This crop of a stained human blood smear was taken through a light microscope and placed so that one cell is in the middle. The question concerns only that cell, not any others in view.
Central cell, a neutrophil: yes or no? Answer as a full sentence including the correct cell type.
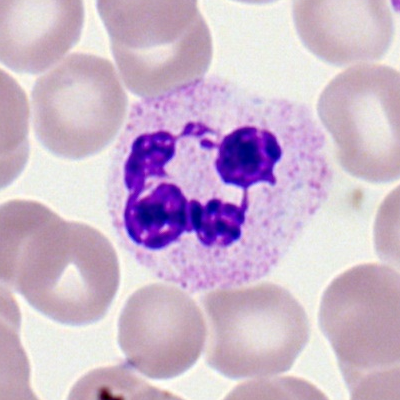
Yes, a neutrophil is what the central cell is.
